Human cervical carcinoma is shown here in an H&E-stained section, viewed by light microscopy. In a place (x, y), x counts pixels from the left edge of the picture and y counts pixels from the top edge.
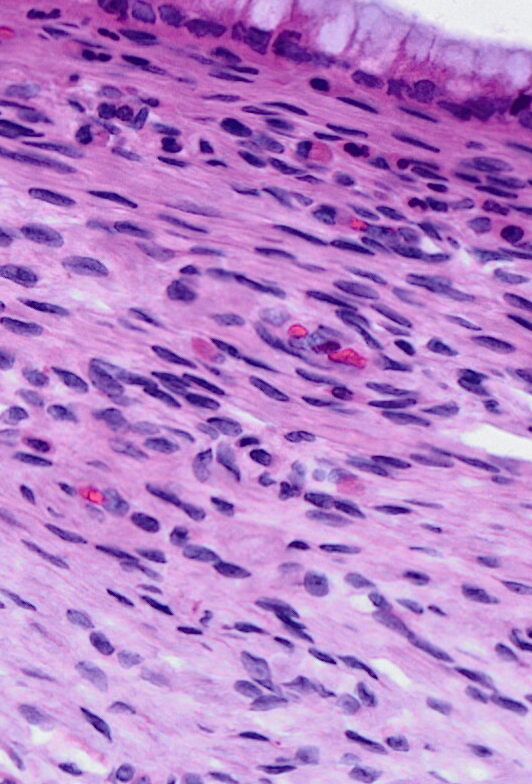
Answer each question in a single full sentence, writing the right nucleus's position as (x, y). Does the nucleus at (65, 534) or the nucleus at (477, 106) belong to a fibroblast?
The nucleus found at (65, 534) belongs to a fibroblast.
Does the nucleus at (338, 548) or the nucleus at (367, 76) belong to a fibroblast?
Among the two nuclei, the one lying at (338, 548) is part of a fibroblast.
